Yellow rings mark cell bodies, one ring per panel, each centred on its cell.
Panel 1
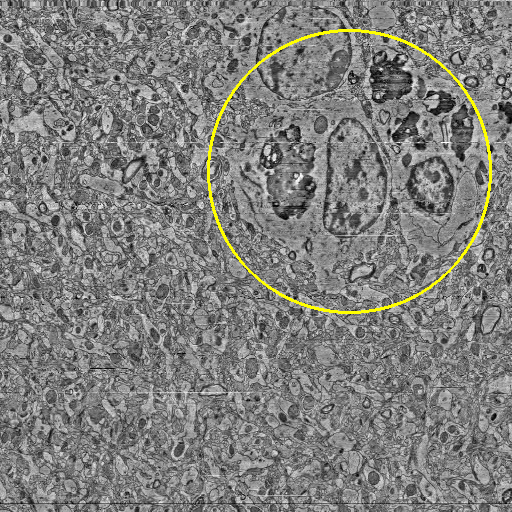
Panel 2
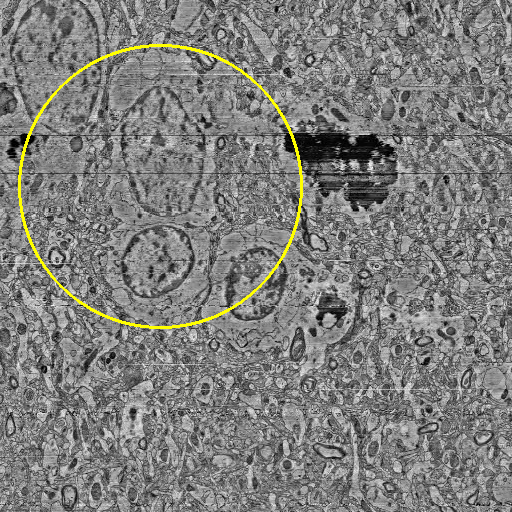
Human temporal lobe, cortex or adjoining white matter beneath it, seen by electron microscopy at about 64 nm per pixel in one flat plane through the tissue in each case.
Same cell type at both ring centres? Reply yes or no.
yes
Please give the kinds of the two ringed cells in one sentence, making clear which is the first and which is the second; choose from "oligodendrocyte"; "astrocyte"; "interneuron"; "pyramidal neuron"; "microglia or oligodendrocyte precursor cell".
Each one of the two ringed cells is an astrocyte.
